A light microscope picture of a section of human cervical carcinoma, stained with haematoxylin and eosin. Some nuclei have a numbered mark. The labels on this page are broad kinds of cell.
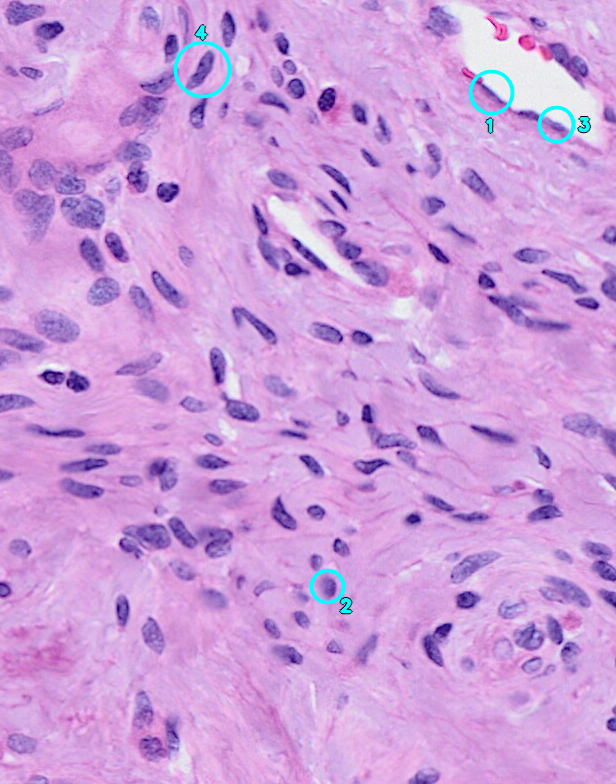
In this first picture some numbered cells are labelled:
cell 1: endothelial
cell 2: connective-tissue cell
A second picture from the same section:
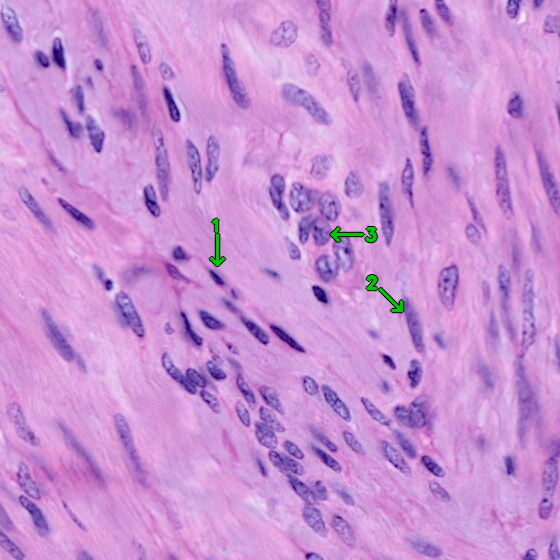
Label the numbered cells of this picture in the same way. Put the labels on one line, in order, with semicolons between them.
connective-tissue cell; connective-tissue cell; endothelial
